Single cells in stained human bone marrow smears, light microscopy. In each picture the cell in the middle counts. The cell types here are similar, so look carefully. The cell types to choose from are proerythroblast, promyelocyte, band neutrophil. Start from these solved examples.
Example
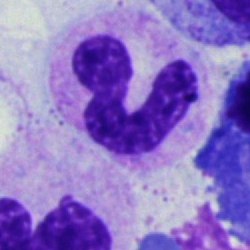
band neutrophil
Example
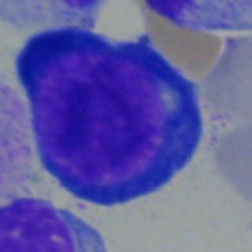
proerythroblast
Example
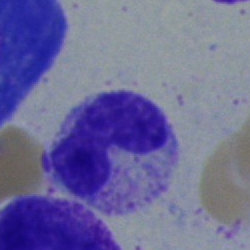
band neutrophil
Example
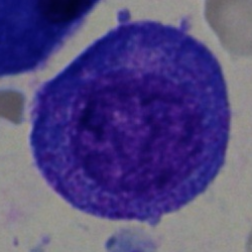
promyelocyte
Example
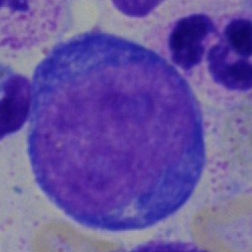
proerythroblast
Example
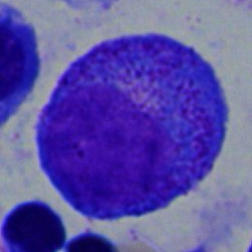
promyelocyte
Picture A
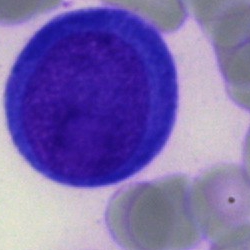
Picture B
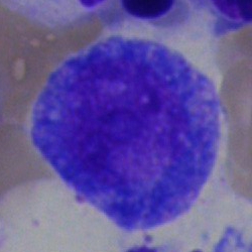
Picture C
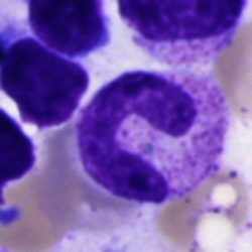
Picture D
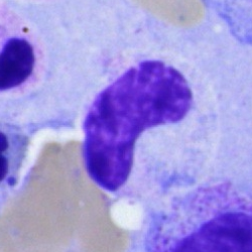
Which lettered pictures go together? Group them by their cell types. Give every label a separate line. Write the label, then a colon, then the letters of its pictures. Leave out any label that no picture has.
proerythroblast: A
promyelocyte: B
band neutrophil: C, D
